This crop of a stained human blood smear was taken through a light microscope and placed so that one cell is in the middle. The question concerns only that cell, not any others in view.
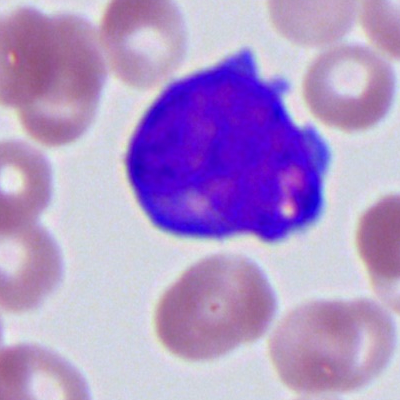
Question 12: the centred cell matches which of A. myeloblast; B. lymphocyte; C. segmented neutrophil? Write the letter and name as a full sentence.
Here the central cell is a myeloblast, and option A is correct.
